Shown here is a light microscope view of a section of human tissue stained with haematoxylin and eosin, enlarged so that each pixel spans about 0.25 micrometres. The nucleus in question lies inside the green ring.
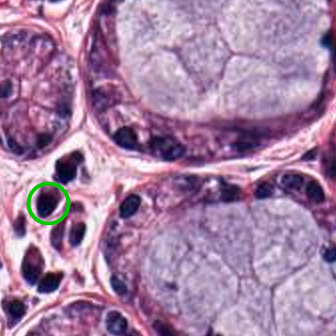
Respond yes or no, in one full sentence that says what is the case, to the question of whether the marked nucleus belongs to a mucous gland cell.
No, the marked nucleus sits in a supporting cell; a mucous gland cell does not contain it.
